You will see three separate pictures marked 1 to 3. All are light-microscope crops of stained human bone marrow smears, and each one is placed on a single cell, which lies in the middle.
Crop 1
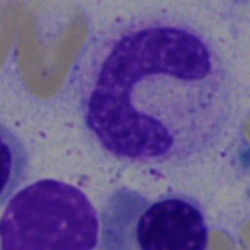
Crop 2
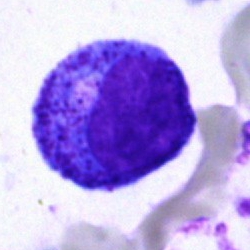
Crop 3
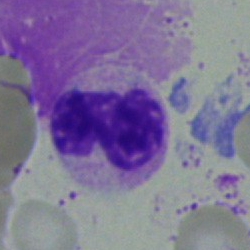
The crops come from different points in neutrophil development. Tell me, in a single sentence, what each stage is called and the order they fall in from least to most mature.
Ranked from least to most mature, the sequence is crop 2 (a promyelocyte), crop 1 (a band neutrophil) and crop 3 (a segmented neutrophil).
